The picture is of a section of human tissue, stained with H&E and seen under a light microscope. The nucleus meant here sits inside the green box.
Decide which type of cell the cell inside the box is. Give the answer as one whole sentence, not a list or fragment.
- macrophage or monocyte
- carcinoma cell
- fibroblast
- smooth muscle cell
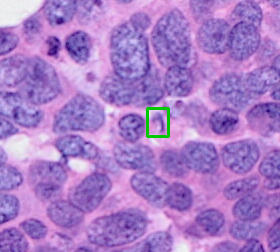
As classified here, the cell inside the box is a macrophage or monocyte.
